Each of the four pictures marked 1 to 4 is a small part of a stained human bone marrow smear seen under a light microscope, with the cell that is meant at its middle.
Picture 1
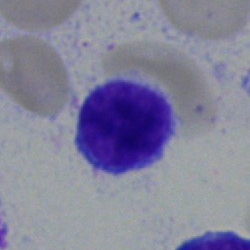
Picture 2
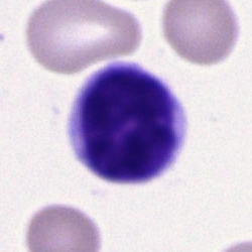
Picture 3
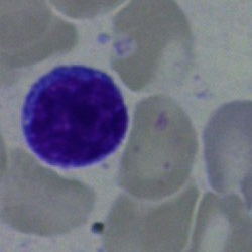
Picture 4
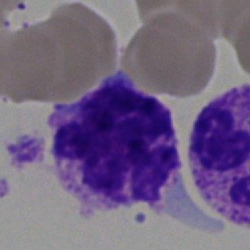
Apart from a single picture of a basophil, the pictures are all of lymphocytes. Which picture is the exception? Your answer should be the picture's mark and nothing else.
4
